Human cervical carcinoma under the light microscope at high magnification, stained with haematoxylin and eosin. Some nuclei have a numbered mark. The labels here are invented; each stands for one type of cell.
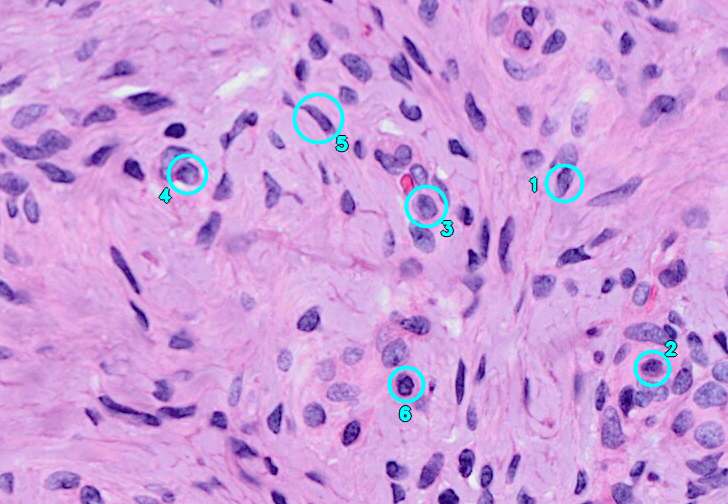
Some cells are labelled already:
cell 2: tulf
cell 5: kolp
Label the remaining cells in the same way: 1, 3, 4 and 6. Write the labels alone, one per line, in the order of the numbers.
kolp
tulf
tulf
tulf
